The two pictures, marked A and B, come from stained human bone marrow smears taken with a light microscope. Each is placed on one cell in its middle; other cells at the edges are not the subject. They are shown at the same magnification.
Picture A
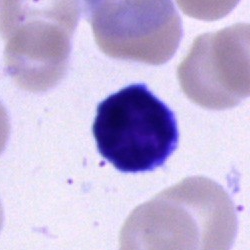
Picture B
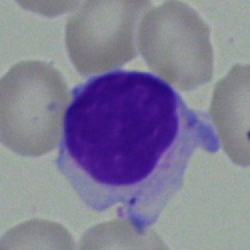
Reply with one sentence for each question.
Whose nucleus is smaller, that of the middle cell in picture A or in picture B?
Picture A shows the smaller nucleus, since that in picture B covers about 2 times as much area.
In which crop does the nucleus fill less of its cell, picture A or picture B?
Of the two, the nucleus in picture B leaves more room for cytoplasm.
